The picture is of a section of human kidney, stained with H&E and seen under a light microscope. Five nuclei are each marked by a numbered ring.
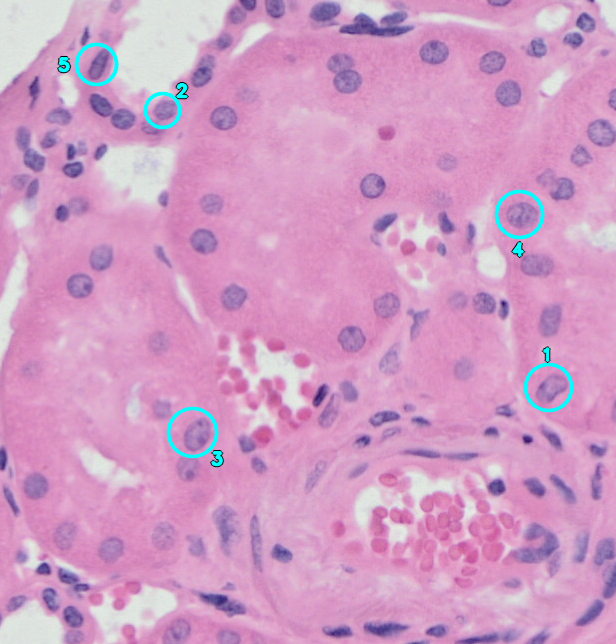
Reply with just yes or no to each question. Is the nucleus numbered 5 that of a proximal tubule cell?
no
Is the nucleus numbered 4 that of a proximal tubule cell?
yes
